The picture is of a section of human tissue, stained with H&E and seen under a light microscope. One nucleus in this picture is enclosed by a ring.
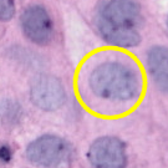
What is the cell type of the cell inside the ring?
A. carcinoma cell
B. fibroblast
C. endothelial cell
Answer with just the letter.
A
